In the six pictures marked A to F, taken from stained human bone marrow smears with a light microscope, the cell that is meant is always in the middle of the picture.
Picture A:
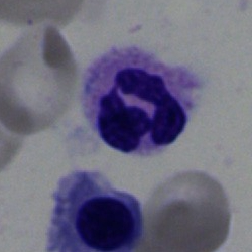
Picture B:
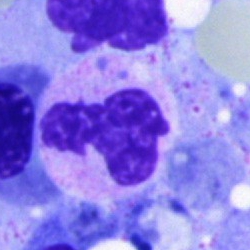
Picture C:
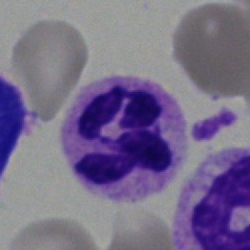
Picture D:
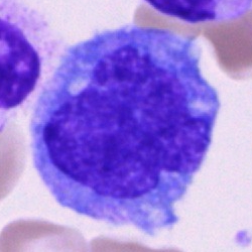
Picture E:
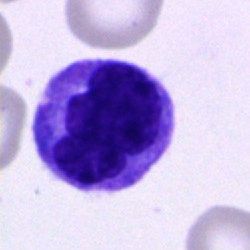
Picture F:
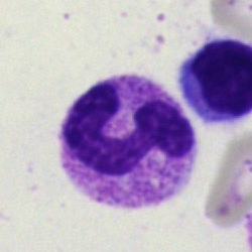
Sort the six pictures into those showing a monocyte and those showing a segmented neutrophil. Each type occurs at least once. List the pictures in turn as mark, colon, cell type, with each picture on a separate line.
A: segmented neutrophil
B: segmented neutrophil
C: segmented neutrophil
D: monocyte
E: monocyte
F: segmented neutrophil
